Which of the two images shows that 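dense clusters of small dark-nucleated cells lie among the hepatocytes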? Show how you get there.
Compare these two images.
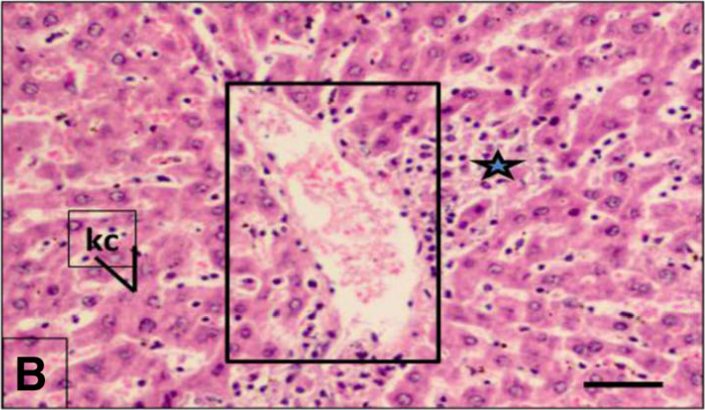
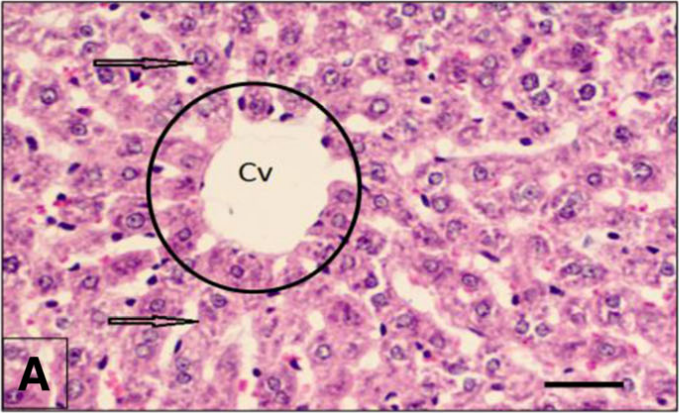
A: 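First image: a crowd of small dark round nuclei gathers beside the vessel and near the asterisk. Second image: hepatocyte cords with evenly spaced nuclei, without crowds of small dark cells.
Conclusion: the first image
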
